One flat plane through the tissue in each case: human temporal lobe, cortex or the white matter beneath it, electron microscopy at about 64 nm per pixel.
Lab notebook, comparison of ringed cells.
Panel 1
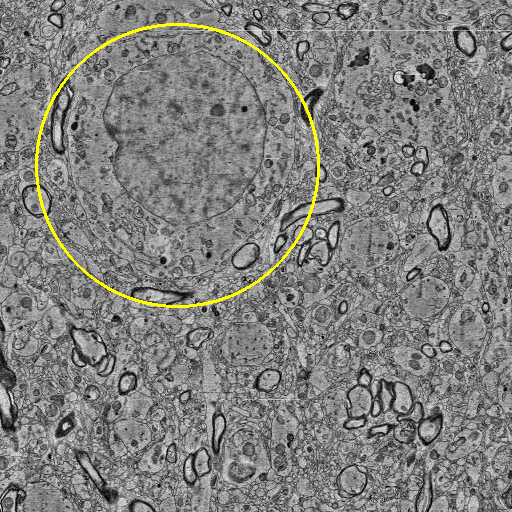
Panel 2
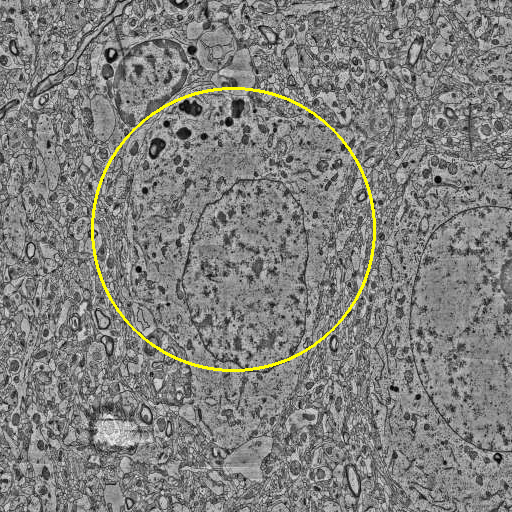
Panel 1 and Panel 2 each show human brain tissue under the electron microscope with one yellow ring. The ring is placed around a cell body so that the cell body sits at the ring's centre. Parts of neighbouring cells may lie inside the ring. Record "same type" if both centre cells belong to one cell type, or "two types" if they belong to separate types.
two types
